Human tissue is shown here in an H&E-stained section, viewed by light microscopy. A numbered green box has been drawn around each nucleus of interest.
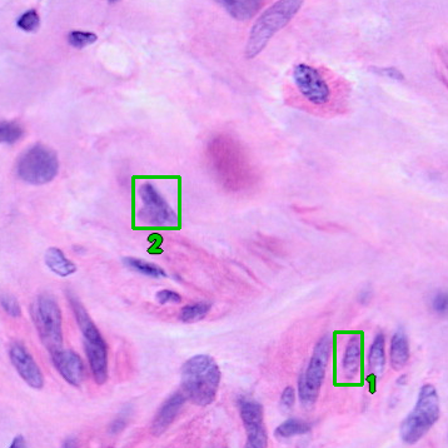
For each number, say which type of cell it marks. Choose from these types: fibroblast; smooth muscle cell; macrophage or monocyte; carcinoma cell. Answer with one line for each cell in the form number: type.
1: smooth muscle cell
2: fibroblast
